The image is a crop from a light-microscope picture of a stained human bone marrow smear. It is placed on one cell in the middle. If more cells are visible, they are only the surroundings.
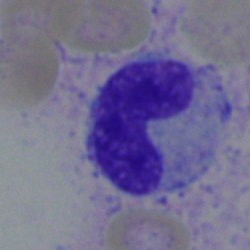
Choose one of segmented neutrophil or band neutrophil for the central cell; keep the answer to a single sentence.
In the central position of this crop, the cell is a band neutrophil.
